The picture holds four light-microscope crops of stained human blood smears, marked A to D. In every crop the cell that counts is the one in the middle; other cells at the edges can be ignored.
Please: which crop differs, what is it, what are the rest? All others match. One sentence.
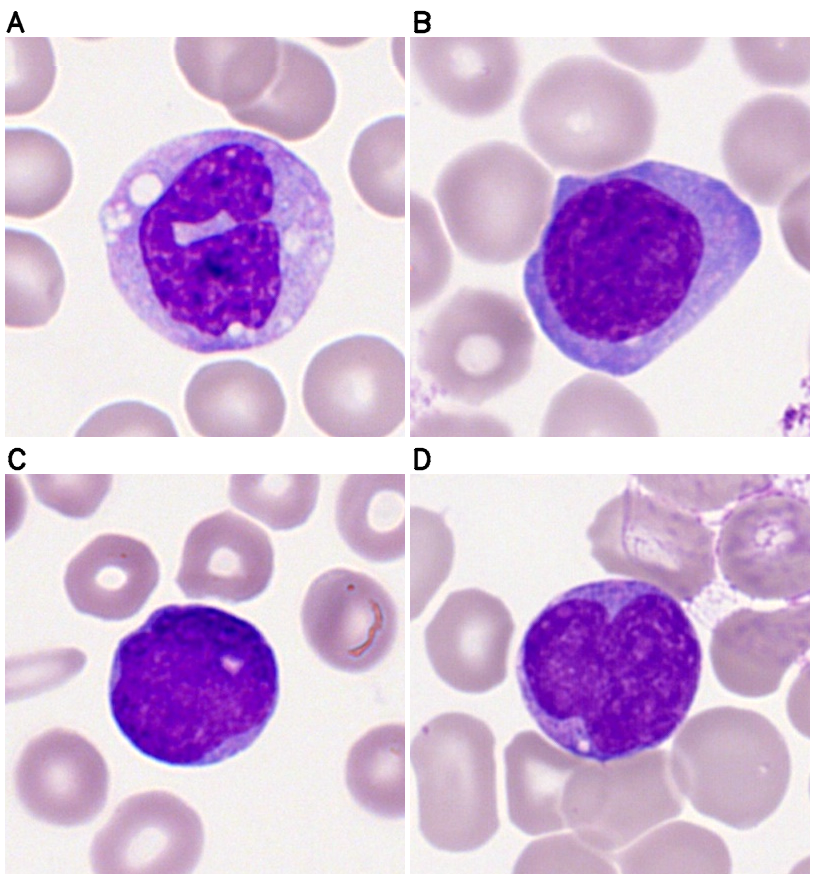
The central cell of crop A is a monocyte, while the other crops show myeloblasts.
